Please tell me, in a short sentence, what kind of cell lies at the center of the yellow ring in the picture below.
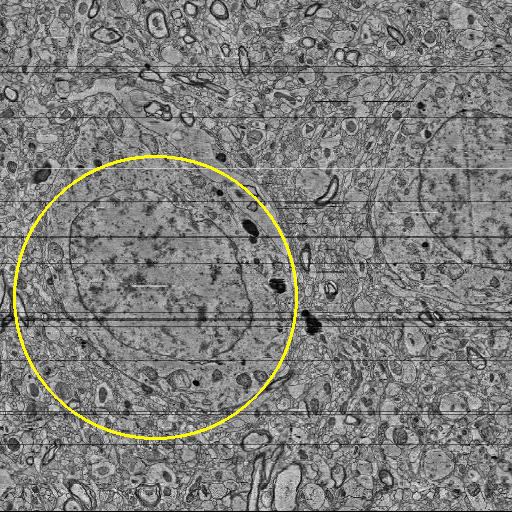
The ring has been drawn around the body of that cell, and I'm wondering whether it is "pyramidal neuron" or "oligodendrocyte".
The cell at the center of the ring is a pyramidal neuron.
